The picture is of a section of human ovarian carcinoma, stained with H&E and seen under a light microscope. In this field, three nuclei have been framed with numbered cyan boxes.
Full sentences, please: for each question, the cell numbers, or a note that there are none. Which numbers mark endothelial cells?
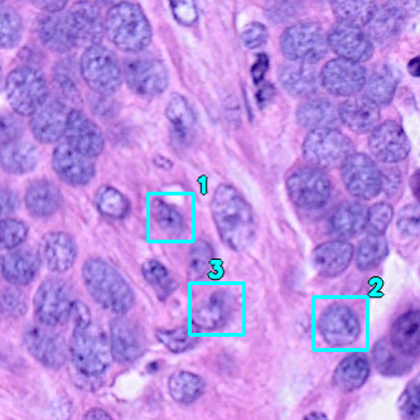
Cell 1 is an endothelial cell, and it is the only one.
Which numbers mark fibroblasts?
Of those with numbers, only cell 3 is a fibroblast.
